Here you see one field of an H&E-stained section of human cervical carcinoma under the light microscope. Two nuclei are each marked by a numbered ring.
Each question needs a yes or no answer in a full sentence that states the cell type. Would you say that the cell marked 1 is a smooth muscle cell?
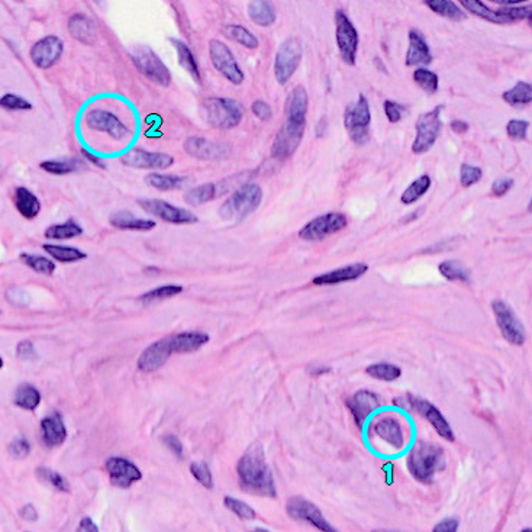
No, the cell with the number 1 is an endothelial cell, not a smooth muscle cell.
